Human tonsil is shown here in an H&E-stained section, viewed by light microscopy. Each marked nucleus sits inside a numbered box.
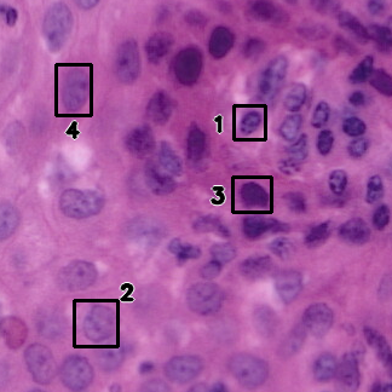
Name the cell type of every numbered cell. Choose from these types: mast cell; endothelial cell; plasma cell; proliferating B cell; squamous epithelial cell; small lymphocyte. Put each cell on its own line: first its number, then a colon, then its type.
1: plasma cell
2: squamous epithelial cell
3: squamous epithelial cell
4: squamous epithelial cell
